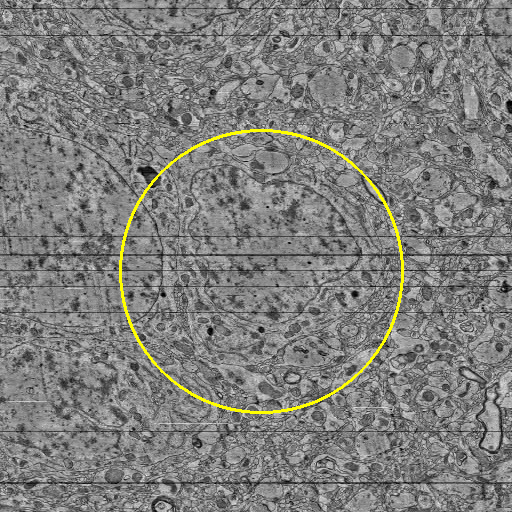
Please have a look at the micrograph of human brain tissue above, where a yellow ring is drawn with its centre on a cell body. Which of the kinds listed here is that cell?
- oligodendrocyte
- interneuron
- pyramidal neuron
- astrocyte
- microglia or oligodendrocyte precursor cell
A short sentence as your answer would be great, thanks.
At the centre of the ring sits an interneuron.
